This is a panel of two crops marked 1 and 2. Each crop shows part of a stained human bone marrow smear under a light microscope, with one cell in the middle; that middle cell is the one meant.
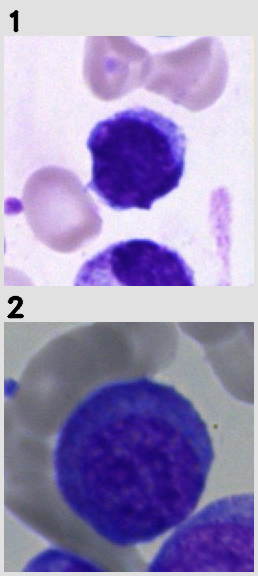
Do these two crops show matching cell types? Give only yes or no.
no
